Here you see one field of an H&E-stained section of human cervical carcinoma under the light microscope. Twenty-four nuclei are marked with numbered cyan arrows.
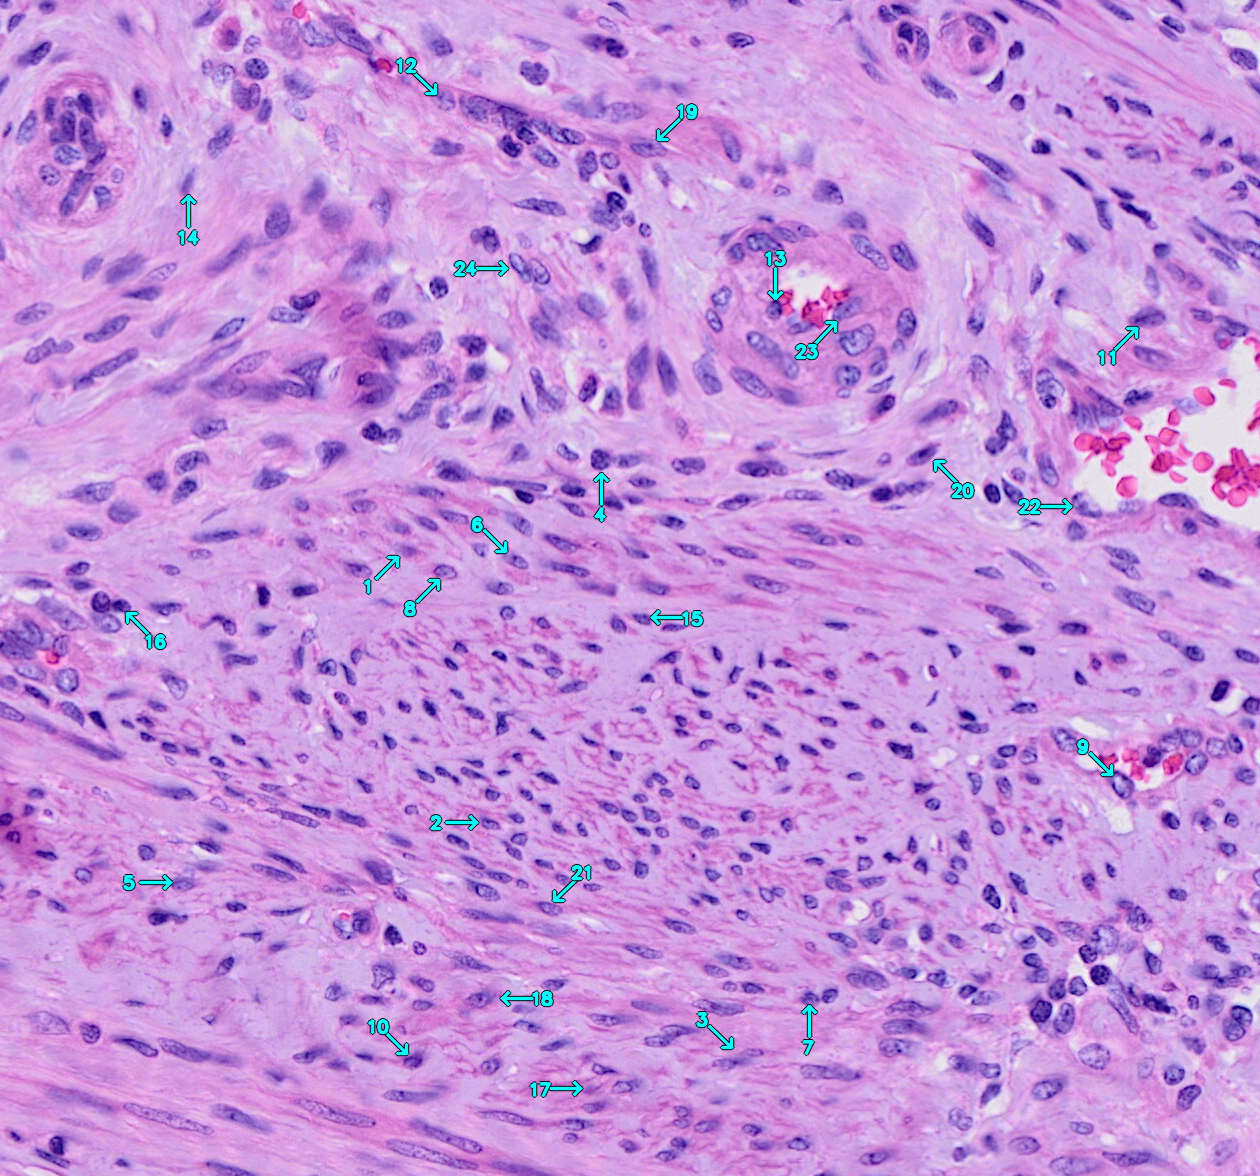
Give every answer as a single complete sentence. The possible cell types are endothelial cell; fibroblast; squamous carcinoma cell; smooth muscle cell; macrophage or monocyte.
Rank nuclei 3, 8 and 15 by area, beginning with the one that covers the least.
The order from the smallest nucleus to the largest is 15, 8, 3.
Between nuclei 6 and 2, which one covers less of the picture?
With nucleus 6 about 1.5 times its size, nucleus 2 is the smaller of the two.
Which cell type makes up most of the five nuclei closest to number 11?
Endothelial cells account for more than half of the five nuclei nearest to number 11.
